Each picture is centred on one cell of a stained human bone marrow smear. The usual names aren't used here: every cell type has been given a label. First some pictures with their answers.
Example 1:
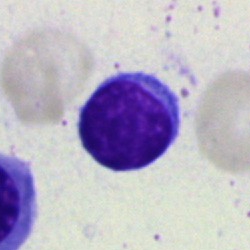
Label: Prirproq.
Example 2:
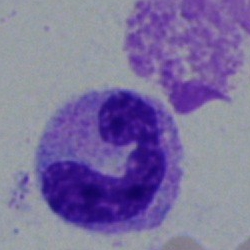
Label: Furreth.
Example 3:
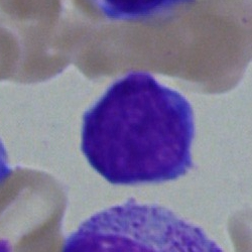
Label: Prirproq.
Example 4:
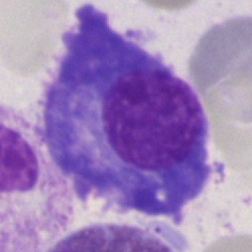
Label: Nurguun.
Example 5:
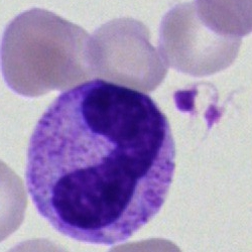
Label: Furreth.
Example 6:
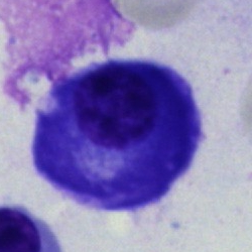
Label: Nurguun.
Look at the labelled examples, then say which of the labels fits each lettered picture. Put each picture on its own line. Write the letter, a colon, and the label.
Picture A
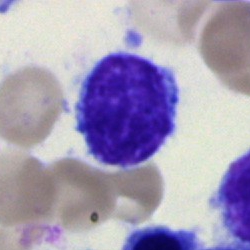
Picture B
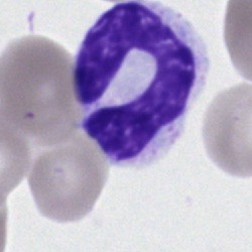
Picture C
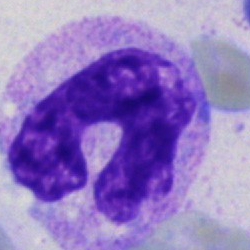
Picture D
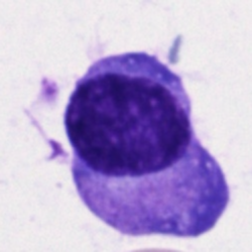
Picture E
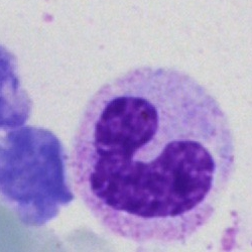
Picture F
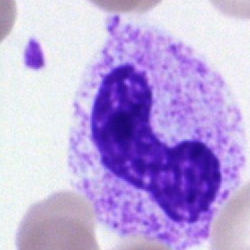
A: Prirproq.
B: Furreth.
C: Furreth.
D: Nurguun.
E: Furreth.
F: Furreth.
